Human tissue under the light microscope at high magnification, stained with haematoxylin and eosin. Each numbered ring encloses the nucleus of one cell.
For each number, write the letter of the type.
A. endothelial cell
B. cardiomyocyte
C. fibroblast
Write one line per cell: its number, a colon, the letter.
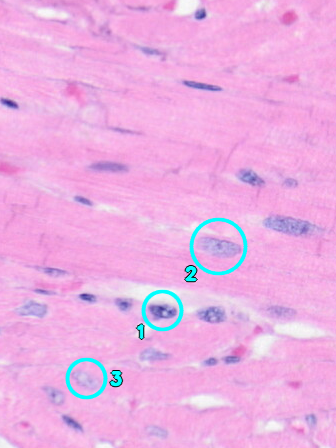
1: C
2: B
3: B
